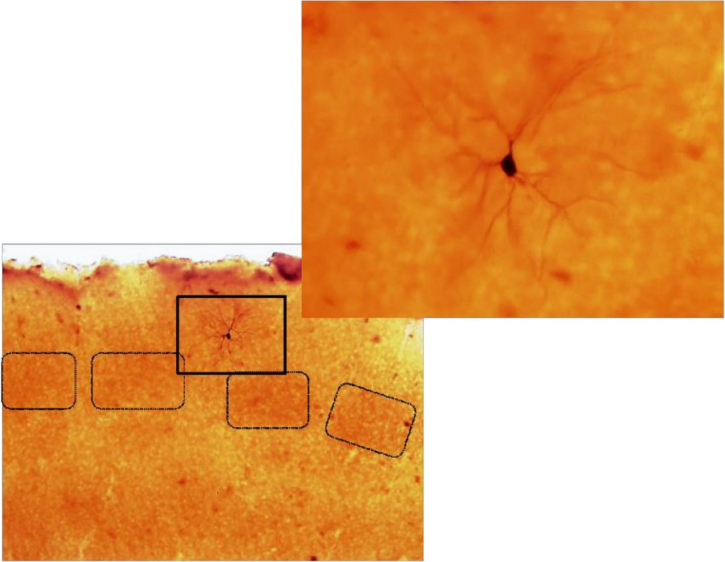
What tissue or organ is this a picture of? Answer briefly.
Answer: barrel cortex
